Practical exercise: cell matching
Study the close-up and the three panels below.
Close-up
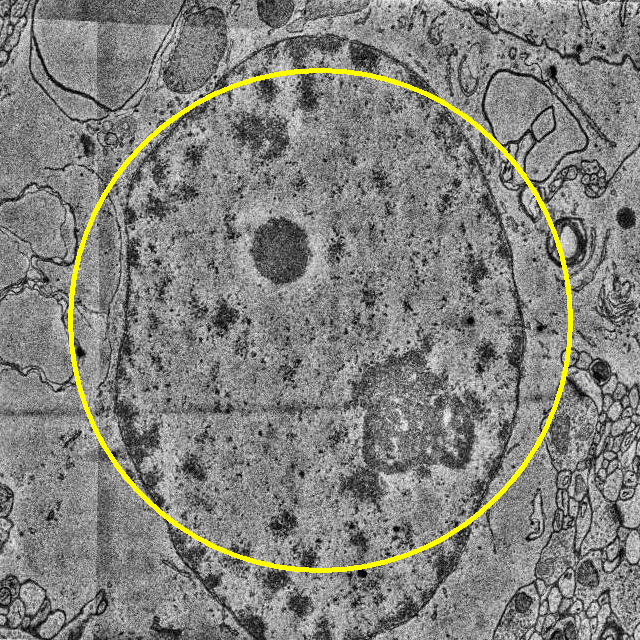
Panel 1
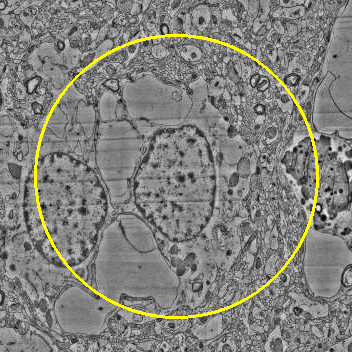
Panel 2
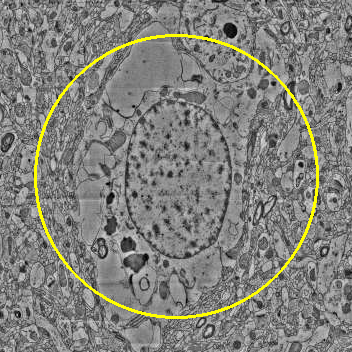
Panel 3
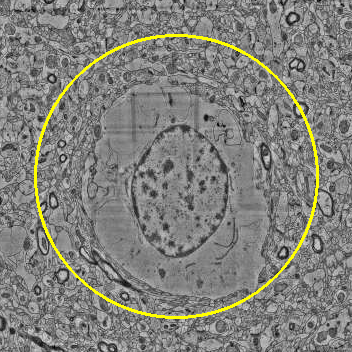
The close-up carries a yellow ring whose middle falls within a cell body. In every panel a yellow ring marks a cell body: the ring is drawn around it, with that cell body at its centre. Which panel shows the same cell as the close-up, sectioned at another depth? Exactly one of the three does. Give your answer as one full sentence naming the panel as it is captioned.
The cell enlarged for the close-up is ringed in Panel 2.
